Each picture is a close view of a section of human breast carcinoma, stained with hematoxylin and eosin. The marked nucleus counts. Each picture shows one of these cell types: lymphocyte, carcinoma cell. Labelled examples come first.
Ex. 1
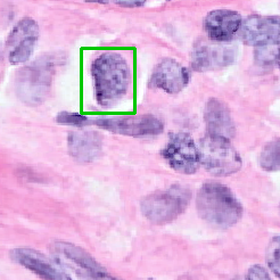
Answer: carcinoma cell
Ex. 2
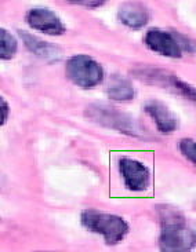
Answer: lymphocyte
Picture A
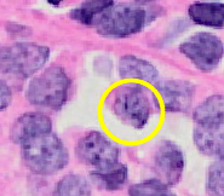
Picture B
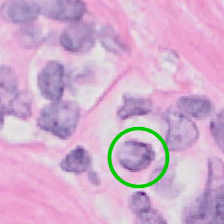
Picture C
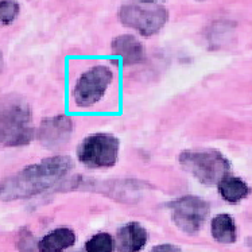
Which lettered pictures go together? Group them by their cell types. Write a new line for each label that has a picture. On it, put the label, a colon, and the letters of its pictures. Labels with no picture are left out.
lymphocyte: C
carcinoma cell: A, B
